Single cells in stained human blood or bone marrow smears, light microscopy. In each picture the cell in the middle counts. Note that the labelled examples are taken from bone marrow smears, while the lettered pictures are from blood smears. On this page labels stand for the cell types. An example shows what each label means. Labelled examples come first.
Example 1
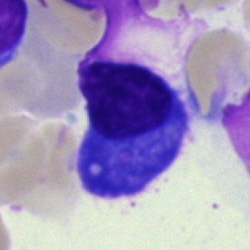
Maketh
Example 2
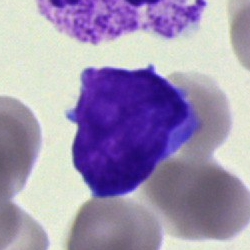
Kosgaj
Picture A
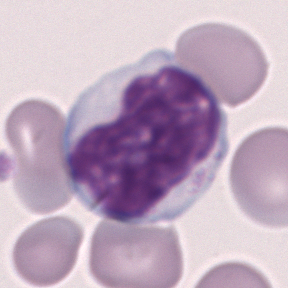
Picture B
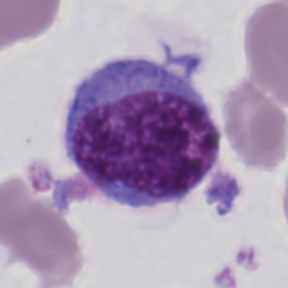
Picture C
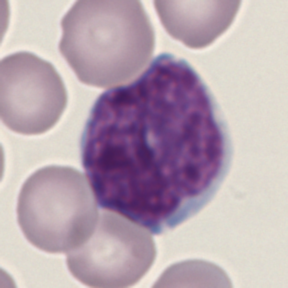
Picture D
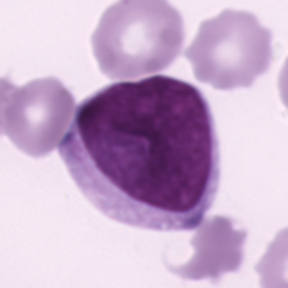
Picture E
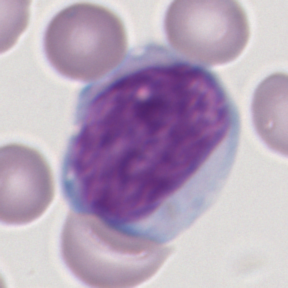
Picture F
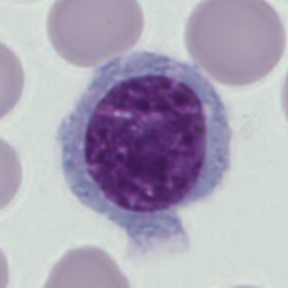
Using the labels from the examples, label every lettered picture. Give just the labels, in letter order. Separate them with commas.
Kosgaj, Maketh, Kosgaj, Kosgaj, Kosgaj, Maketh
